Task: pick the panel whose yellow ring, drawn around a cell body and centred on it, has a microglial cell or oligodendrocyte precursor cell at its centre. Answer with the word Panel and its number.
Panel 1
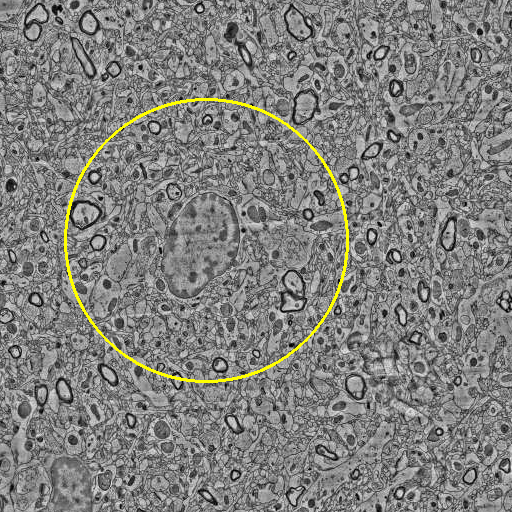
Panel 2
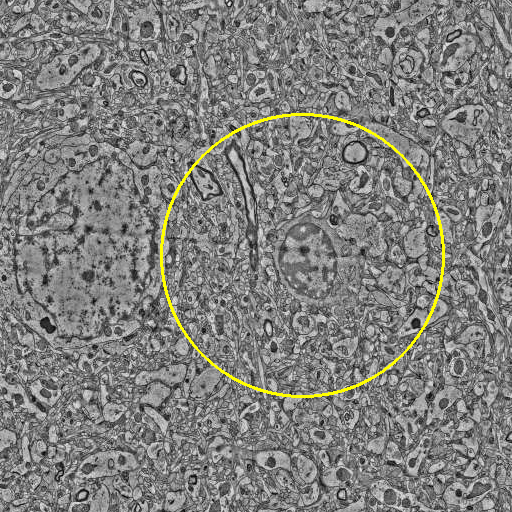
Panel 1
